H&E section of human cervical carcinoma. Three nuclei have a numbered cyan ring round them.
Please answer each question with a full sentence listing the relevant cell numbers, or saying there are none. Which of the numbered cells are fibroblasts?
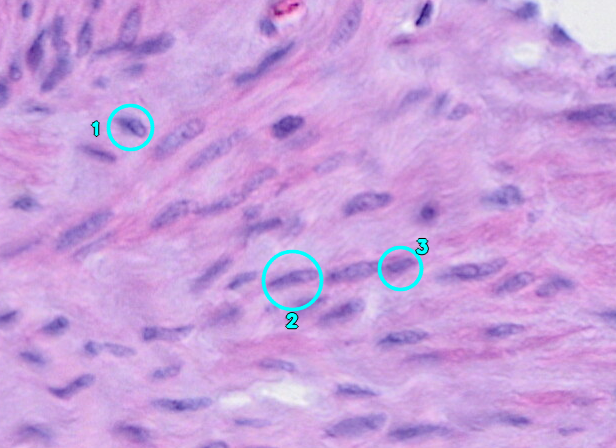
No marked cell except number 1 is a fibroblast.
